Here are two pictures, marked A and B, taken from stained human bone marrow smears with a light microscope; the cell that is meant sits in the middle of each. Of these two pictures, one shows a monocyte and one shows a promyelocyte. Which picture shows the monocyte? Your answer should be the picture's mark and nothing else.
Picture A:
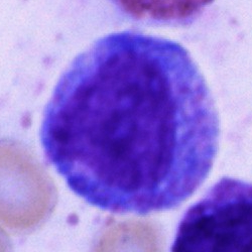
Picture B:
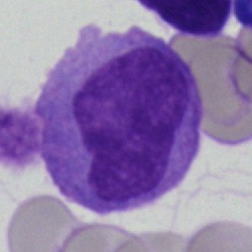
B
